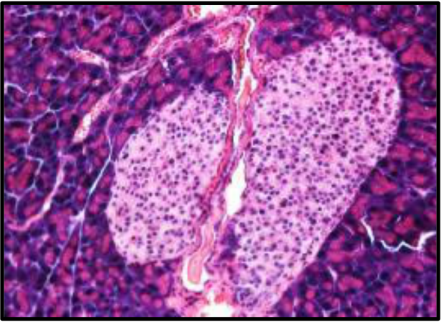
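This section of pancreas shows a large islet lying within exocrine acinar tissue. The acini form darker purple-red clusters of cells with pink cytoplasm around the islet. The islet itself is a pale pink, rounded area with many small, evenly scattered dark nuclei and pale cytoplasm, clearly bordered against the darker acinar tissue. A blood vessel with a pink wall and some red blood cells runs across the middle of the islet. No dense collections of small dark cells are seen within or around the islet, and its cells appear evenly arranged.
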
